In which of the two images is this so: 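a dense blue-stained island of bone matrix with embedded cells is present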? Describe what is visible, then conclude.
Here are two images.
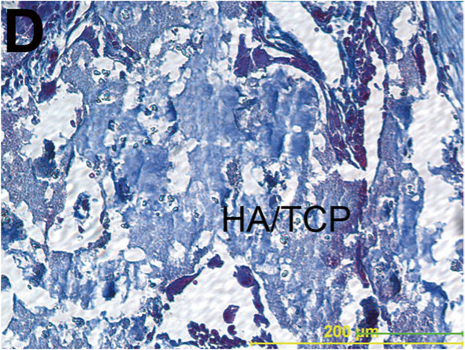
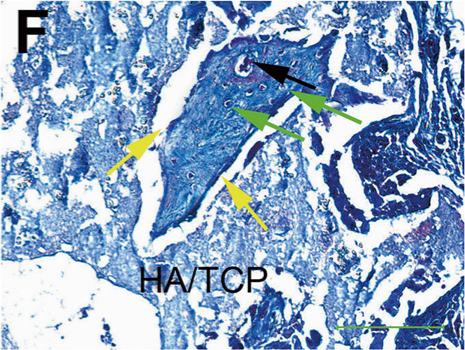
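The second image. First image: only pale, porous, mottled scaffold material with no compact blue island. Second image: a large compact deep blue island with cells in small spaces lies within the scaffold.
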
